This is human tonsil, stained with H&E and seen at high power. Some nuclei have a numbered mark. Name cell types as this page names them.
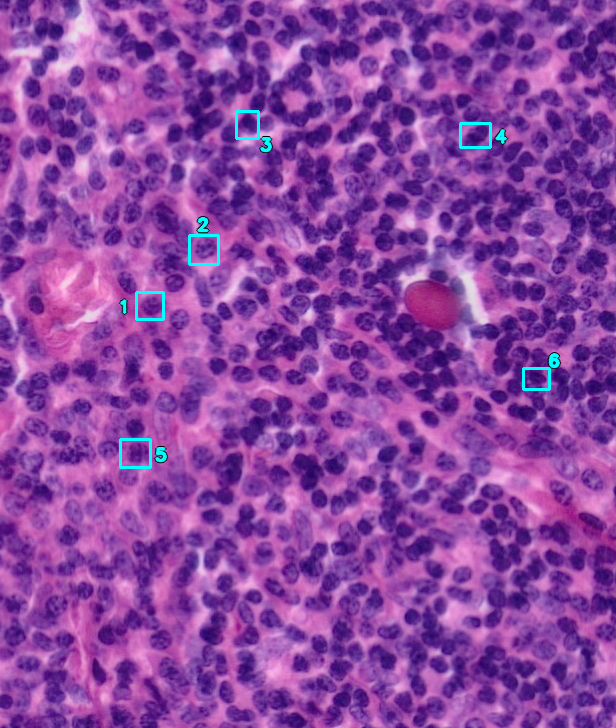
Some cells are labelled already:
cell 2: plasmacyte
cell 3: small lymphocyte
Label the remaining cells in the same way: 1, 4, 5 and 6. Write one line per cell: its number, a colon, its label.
1: plasmacyte
4: small lymphocyte
5: plasmacyte
6: small lymphocyte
